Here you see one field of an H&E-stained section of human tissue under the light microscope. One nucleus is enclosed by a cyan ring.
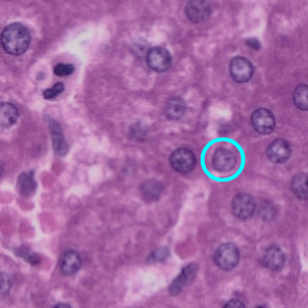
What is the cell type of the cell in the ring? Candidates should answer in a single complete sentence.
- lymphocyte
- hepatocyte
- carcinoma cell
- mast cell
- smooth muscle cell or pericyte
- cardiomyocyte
By its classification, the cell in the ring is a hepatocyte.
